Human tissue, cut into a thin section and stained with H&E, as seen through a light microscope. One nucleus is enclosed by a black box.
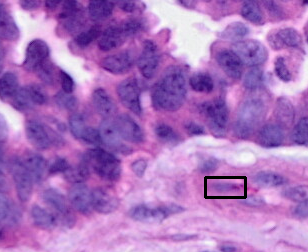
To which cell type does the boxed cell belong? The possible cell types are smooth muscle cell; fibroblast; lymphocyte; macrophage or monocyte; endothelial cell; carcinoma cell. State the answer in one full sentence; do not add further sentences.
Placed in its cell category, the boxed cell is an endothelial cell.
